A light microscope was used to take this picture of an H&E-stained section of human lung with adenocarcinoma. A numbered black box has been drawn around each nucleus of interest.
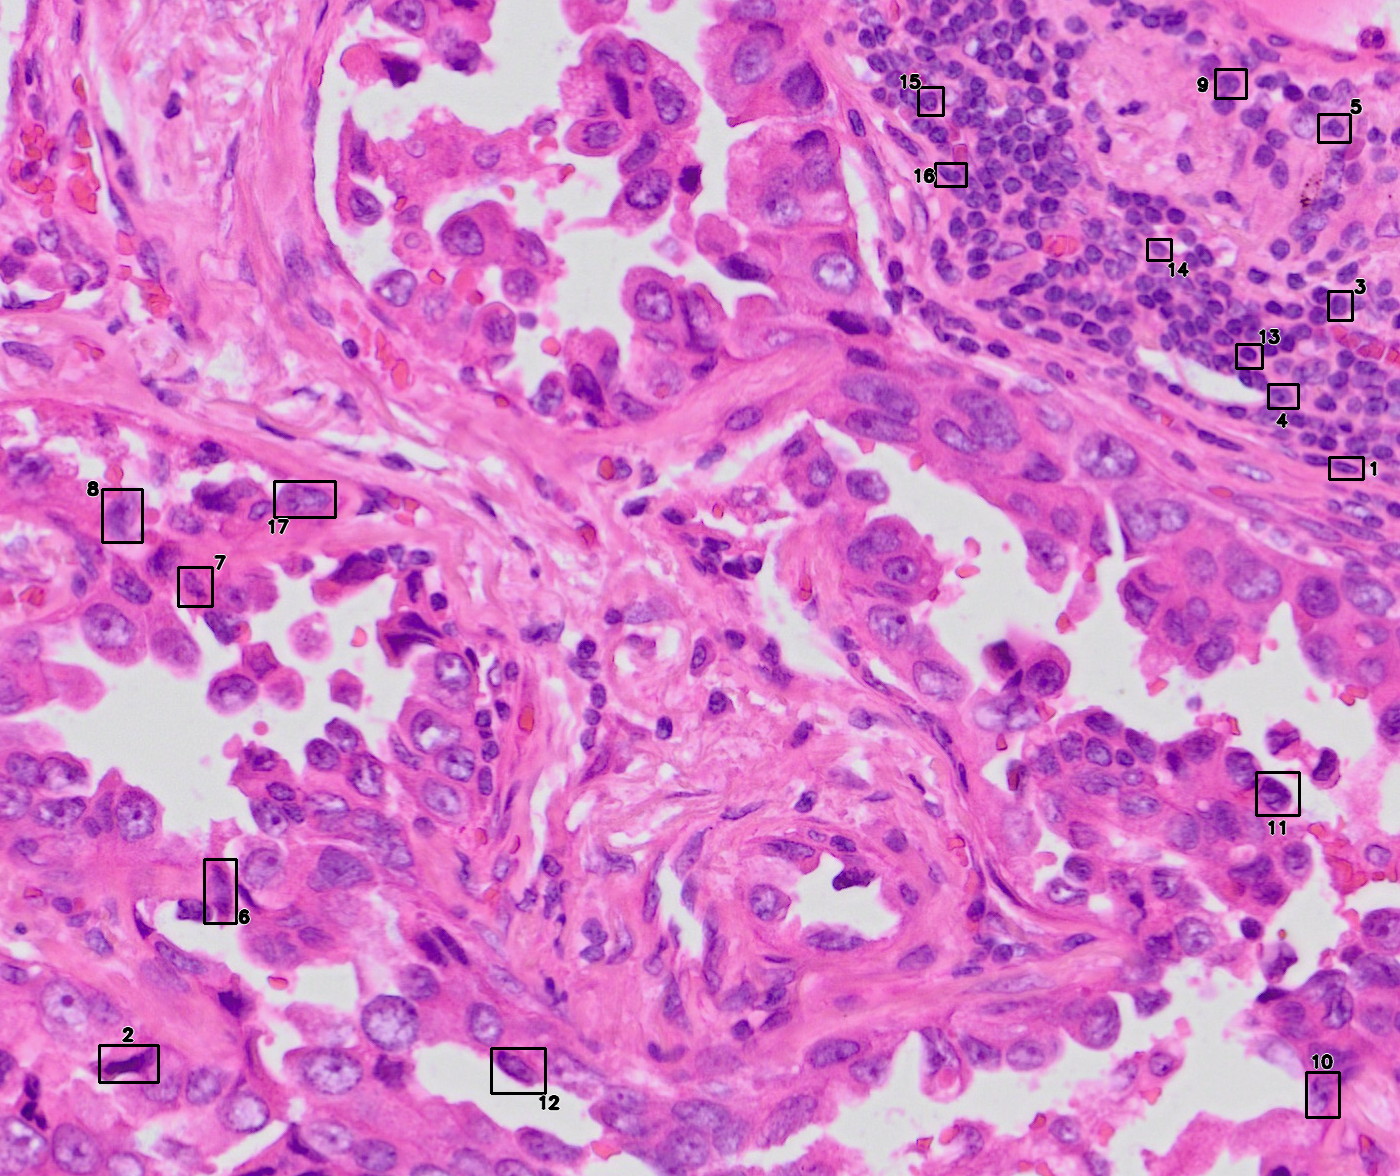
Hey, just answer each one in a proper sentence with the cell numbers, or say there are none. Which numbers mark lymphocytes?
Cells 1, 3, 4, 5, 9, 13, 14, 15 and 16 are classified as lymphocytes.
